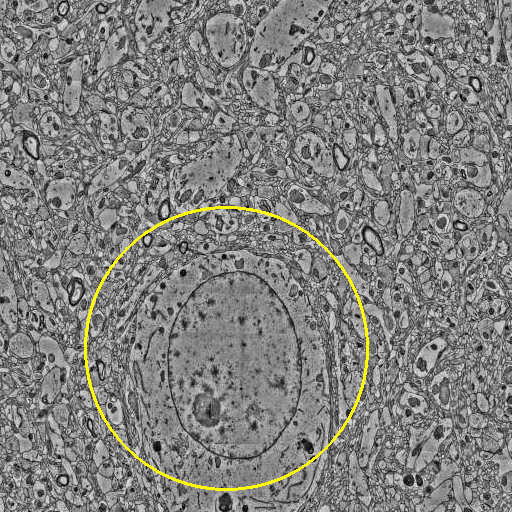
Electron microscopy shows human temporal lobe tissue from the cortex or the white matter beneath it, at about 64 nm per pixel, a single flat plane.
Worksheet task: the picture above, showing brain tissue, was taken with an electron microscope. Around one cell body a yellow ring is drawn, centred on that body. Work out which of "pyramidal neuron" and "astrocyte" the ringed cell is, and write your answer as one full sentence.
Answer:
It is a pyramidal neuron whose cell body lies at the centre of the yellow ring.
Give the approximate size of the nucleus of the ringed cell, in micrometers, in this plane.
The ringed cell's nucleus is about 12 micrometres long and 9 micrometres wide in this plane.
